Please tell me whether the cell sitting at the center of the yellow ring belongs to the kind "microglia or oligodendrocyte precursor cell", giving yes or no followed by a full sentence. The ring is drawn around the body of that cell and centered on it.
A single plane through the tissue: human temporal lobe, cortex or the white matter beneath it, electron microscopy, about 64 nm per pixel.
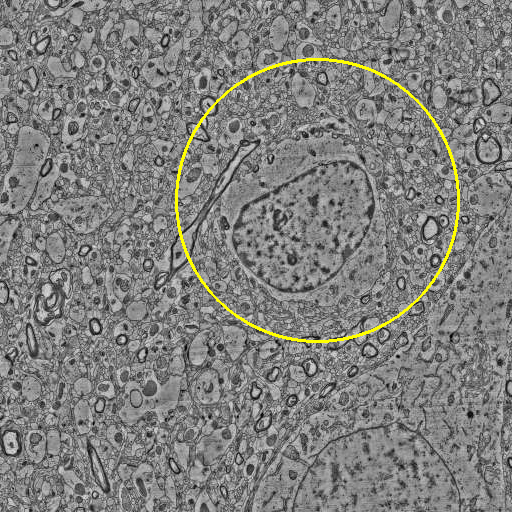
Yes, the cell at the center of the ring in the picture is of that kind.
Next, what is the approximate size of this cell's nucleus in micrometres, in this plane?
About 9 micrometres by about 7 micrometres in this plane.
